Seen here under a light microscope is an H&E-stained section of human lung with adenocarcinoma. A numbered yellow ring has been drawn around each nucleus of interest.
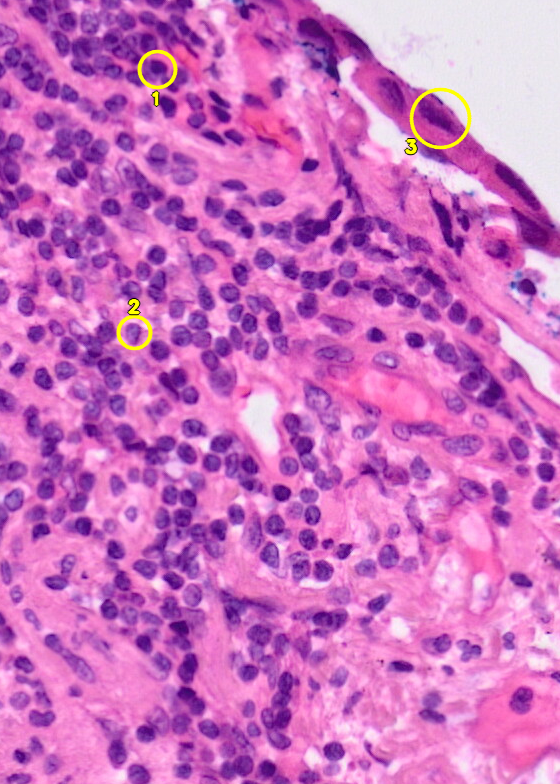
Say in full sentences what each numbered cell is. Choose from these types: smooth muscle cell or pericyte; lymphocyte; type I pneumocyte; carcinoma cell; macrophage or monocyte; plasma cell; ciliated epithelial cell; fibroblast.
Cells 1 and 2 are lymphocytes. Cell 3 is a carcinoma cell.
